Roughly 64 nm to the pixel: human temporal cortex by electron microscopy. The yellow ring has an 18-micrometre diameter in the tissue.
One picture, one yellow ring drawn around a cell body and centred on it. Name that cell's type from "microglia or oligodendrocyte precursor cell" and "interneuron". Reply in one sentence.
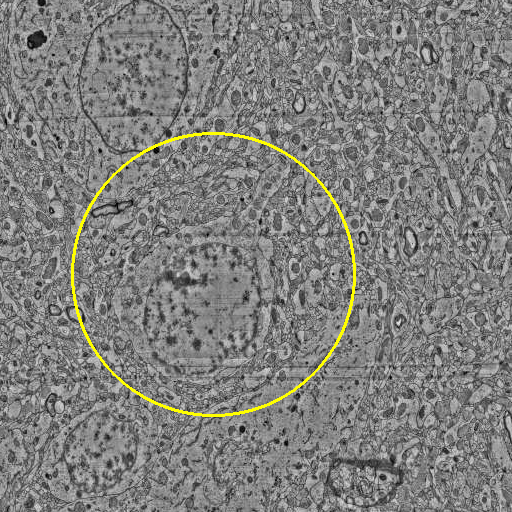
Centred in the ring is an interneuron.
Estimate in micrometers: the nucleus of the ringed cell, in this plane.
In this plane the nucleus measures roughly 9 by 7 micrometers.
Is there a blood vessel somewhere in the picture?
No, no blood vessel shows in the picture.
